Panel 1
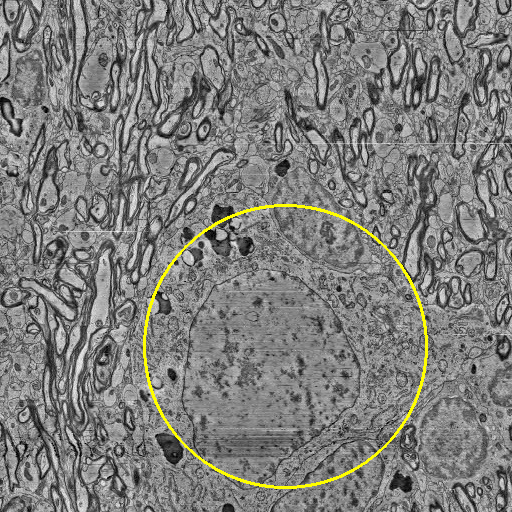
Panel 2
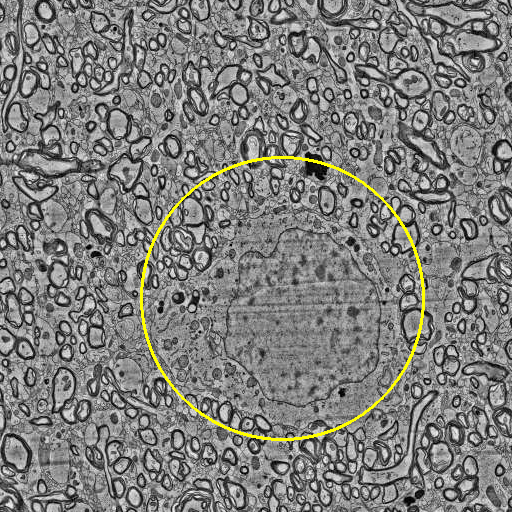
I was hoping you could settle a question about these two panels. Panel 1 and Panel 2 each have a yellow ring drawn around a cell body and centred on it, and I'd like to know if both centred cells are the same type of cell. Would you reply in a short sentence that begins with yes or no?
Yes, both are the same type of cell.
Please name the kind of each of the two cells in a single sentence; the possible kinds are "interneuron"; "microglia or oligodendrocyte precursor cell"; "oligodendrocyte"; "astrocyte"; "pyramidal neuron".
The cell in the first picture is a pyramidal neuron, and so is the one in the second.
